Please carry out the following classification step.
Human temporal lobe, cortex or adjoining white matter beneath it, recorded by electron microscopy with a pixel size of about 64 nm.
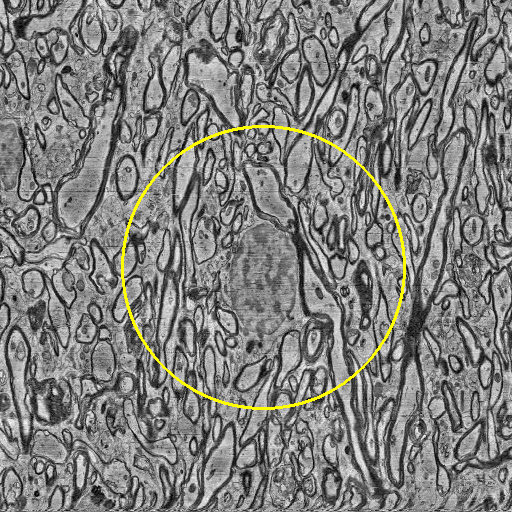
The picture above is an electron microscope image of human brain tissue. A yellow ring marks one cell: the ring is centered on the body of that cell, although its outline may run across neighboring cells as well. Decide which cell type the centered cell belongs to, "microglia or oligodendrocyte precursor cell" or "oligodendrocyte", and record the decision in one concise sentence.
The cell centered in the yellow ring is an oligodendrocyte.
